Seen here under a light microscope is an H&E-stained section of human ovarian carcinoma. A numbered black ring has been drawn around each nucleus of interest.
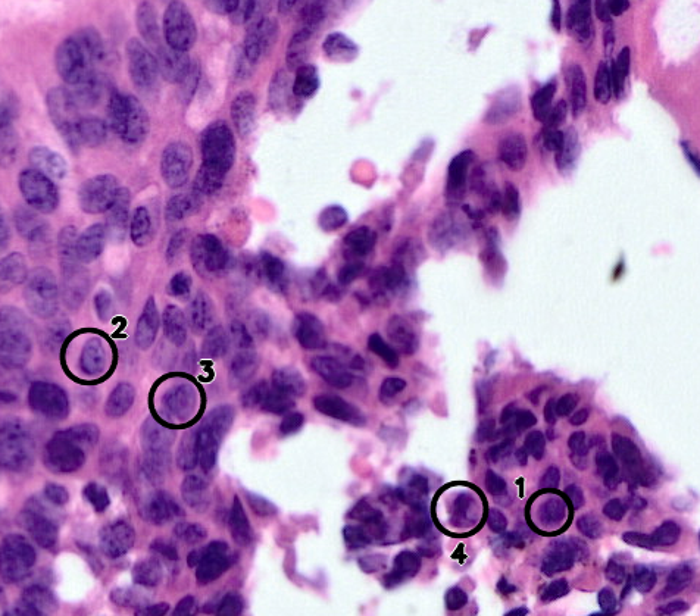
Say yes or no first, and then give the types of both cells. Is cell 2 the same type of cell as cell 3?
No, unlike cell 2, which is a macrophage or monocyte, cell 3 is a carcinoma cell.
